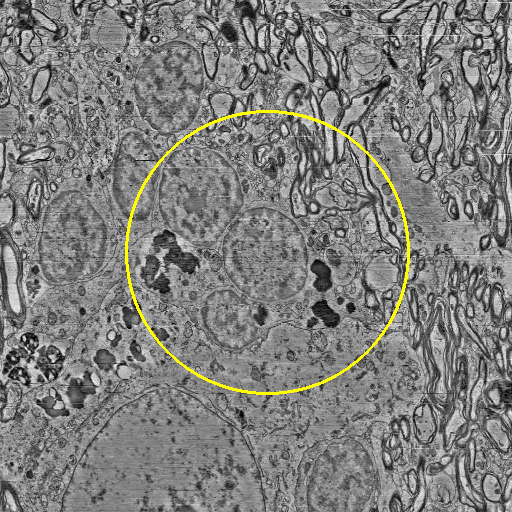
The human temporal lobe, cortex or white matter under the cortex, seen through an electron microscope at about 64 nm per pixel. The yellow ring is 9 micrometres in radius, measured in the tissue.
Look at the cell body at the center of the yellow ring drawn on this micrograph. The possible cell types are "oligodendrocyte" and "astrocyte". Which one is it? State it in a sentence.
The cell in the middle of the ring is an oligodendrocyte.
